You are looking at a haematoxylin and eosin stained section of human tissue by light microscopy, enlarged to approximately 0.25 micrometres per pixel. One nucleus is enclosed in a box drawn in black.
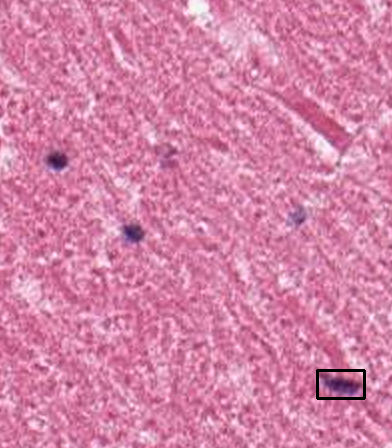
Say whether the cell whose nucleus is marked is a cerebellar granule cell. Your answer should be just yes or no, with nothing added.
no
